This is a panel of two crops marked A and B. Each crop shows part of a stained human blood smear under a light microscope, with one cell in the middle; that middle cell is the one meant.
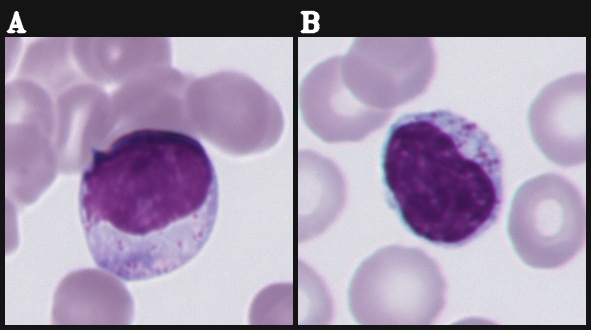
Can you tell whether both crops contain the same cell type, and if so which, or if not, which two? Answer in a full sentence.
Yes, for both crops, the central cells are large granular lymphocytes.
